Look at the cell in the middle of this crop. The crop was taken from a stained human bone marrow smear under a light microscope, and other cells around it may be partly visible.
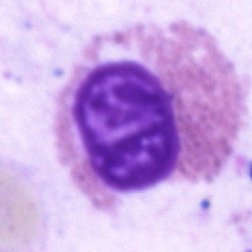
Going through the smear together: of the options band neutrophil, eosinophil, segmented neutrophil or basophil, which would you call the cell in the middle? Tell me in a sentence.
In the central position of this crop, the cell is a basophil.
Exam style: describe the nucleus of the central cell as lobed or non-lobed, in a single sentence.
Key feature: a single compact nucleus, round, oval or kidney-shaped.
